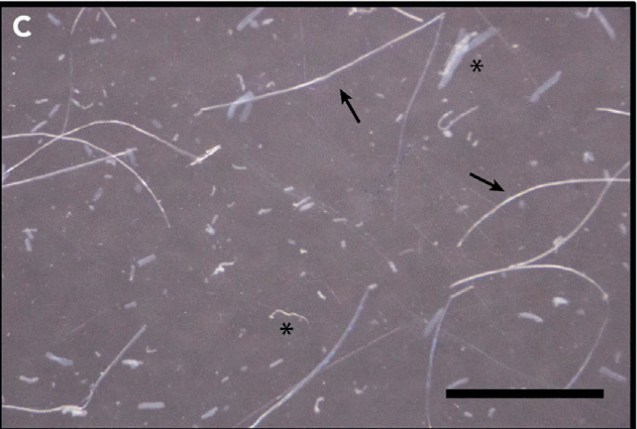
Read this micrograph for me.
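The intact fibers appear as long, thin, pale threads of even width that run across the field in smooth curves. Small specks of debris are spread over the whole background. Overall the field is crowded and the long, intact fibers are mixed with a good deal of waste.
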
